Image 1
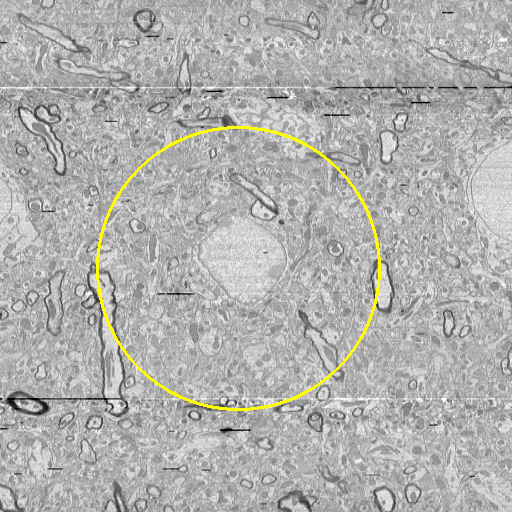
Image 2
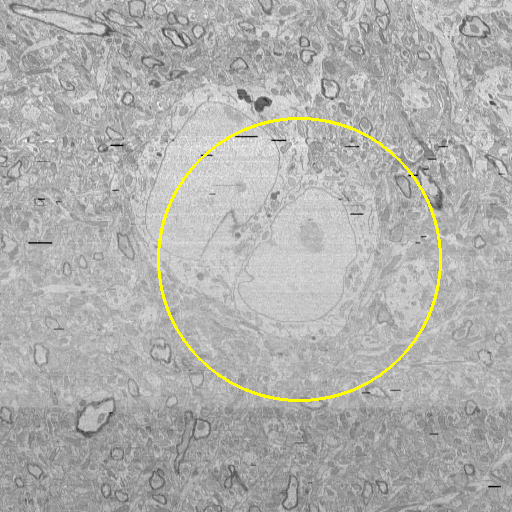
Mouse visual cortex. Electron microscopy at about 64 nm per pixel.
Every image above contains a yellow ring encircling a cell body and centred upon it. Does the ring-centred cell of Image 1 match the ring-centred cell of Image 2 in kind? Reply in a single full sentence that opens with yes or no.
No, the cell at the ring's centre in Image 1 is a separate kind from that in Image 2.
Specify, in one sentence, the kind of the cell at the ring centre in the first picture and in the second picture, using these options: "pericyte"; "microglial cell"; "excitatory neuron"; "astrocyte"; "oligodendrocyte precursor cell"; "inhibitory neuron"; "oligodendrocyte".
So the first is an astrocyte, the second an excitatory neuron.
